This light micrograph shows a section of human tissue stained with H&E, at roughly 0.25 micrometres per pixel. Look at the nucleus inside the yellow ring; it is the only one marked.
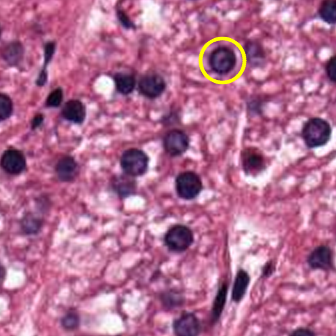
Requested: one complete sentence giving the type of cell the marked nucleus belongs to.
Within an adrenal cortical cell lies the marked nucleus.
